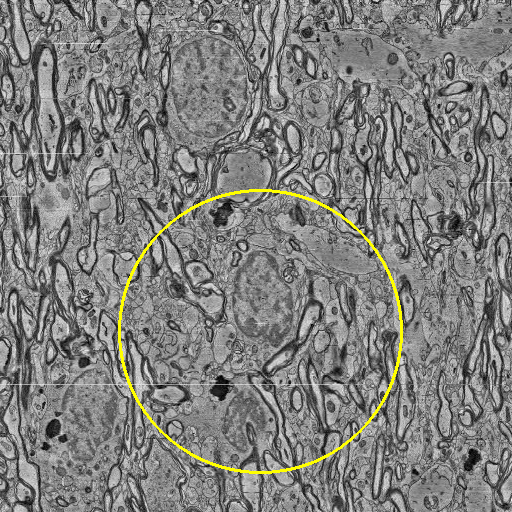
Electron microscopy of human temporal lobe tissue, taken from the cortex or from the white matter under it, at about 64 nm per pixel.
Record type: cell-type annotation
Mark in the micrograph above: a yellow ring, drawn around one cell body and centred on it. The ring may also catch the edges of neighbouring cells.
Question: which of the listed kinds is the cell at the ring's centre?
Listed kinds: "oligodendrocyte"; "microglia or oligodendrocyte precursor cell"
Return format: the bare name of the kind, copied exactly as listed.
oligodendrocyte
